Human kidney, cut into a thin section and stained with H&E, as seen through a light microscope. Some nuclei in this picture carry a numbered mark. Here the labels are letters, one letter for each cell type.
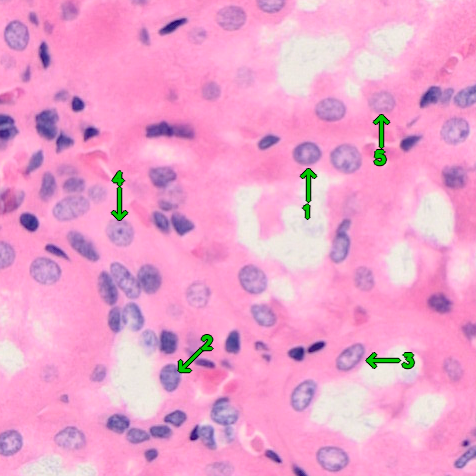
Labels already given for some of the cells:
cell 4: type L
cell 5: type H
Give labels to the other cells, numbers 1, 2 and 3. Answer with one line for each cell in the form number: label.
1: type H
2: type L
3: type H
